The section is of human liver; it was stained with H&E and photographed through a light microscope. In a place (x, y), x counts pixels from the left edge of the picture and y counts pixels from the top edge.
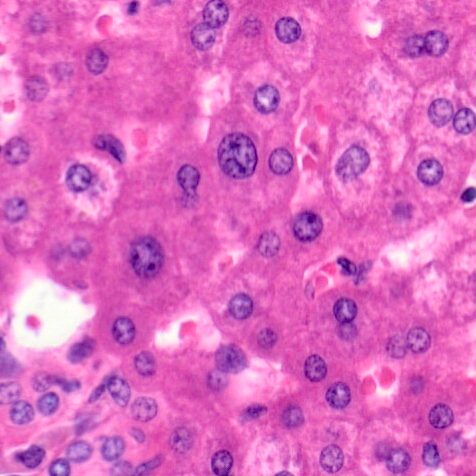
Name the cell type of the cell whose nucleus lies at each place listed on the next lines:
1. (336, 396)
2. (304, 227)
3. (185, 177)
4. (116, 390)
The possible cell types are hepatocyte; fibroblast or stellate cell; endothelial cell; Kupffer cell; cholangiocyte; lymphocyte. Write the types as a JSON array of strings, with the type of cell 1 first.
["hepatocyte", "hepatocyte", "hepatocyte", "cholangiocyte"]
